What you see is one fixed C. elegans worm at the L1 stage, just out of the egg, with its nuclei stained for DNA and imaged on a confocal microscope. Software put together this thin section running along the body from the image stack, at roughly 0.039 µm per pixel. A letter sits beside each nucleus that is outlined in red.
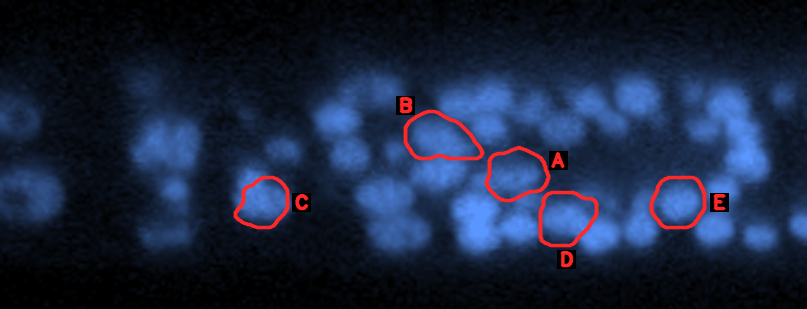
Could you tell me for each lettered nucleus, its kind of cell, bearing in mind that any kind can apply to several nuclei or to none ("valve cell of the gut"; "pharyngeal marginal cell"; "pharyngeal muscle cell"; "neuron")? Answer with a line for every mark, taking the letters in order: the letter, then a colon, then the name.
A: pharyngeal marginal cell
B: pharyngeal muscle cell
C: pharyngeal marginal cell
D: neuron
E: neuron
